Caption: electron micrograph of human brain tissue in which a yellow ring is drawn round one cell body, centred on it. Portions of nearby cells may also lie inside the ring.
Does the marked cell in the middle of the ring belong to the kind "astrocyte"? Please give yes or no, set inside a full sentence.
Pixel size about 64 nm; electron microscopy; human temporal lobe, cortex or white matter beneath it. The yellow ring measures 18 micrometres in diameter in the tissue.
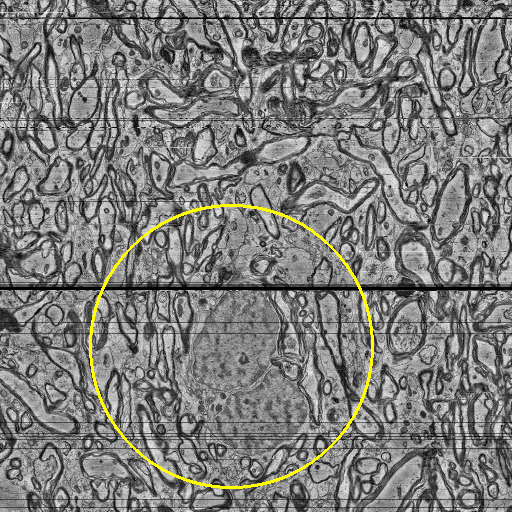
No, the marked cell that the ring is centred on in the picture is of another kind.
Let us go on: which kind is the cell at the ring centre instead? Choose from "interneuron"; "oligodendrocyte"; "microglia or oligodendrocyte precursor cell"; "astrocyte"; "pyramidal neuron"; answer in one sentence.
At the centre of the ring sits an oligodendrocyte.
